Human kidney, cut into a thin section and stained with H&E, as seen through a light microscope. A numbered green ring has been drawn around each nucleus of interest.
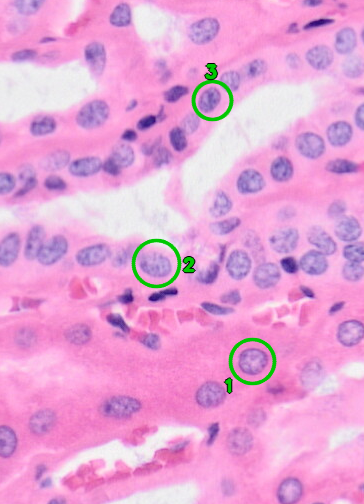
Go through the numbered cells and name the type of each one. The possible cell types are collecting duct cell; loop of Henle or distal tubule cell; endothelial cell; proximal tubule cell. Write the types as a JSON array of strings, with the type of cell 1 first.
["proximal tubule cell", "collecting duct cell", "collecting duct cell"]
